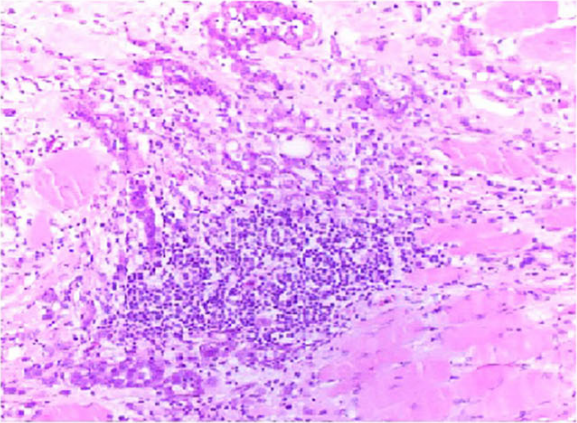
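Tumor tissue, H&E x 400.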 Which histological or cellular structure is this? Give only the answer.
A: Small lymphoid aggregates.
